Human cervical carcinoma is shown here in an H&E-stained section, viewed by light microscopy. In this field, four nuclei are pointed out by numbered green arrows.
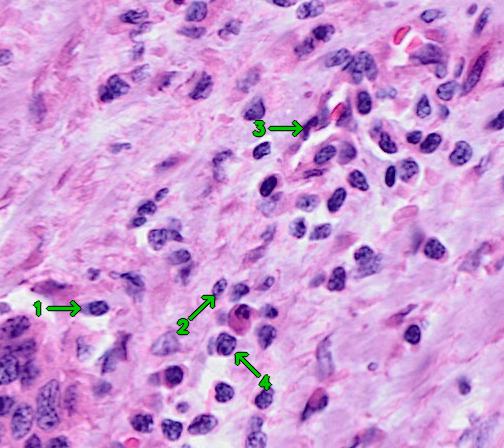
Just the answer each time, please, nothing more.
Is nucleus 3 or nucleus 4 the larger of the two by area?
4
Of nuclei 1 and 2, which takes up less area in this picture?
2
